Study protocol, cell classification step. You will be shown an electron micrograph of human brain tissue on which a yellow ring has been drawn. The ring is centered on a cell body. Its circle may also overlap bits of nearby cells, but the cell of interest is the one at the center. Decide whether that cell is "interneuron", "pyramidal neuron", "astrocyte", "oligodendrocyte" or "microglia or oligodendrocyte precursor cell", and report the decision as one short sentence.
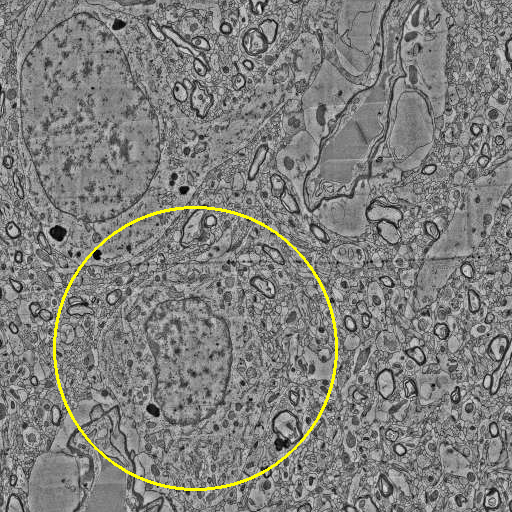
The marked cell is an interneuron.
